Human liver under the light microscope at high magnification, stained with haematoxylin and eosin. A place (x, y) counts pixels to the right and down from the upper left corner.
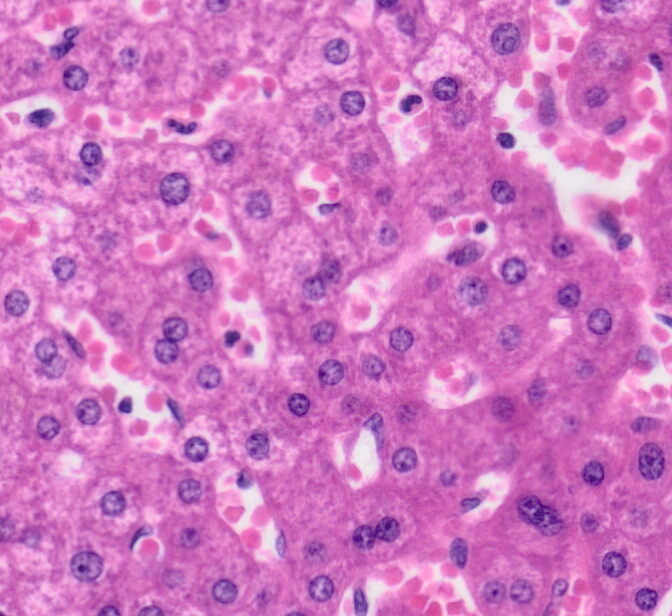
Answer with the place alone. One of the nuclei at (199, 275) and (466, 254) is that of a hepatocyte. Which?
(199, 275)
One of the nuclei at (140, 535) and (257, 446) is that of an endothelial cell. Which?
(140, 535)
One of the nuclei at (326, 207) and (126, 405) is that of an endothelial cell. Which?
(326, 207)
